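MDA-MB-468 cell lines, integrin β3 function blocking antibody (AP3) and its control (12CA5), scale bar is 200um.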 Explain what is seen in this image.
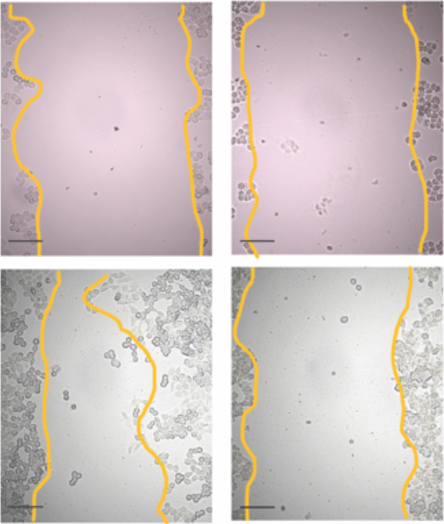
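In the upper two fields the gap is wide and nearly empty, with rounded and polygonal cells crowded along both borders. In the lower left field many cells have moved into the gap and its edge has become wavy, while in the lower right field the gap stays largely clear with only scattered cells inside it.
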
